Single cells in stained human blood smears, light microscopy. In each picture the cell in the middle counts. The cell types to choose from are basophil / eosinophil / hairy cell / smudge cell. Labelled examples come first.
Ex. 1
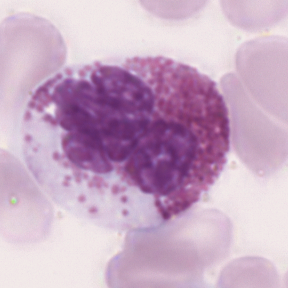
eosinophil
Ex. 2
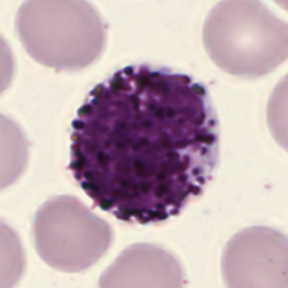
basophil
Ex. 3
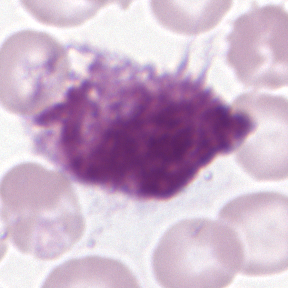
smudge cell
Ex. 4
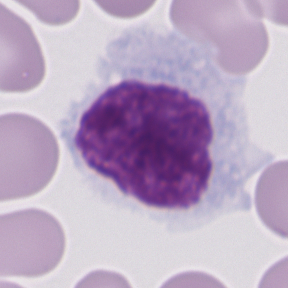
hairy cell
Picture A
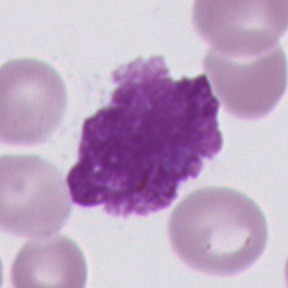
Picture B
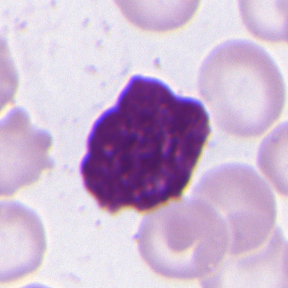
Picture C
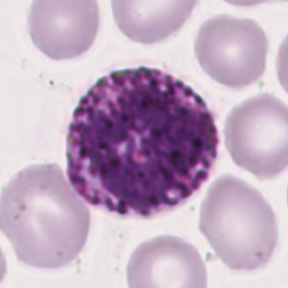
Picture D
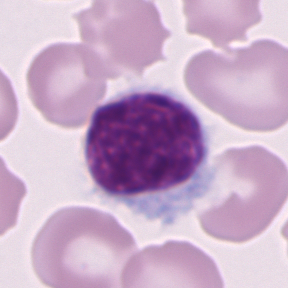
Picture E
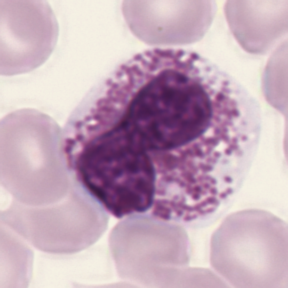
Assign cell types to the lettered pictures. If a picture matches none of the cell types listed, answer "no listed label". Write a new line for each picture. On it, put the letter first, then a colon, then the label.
A: smudge cell
B: smudge cell
C: basophil
D: hairy cell
E: eosinophil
